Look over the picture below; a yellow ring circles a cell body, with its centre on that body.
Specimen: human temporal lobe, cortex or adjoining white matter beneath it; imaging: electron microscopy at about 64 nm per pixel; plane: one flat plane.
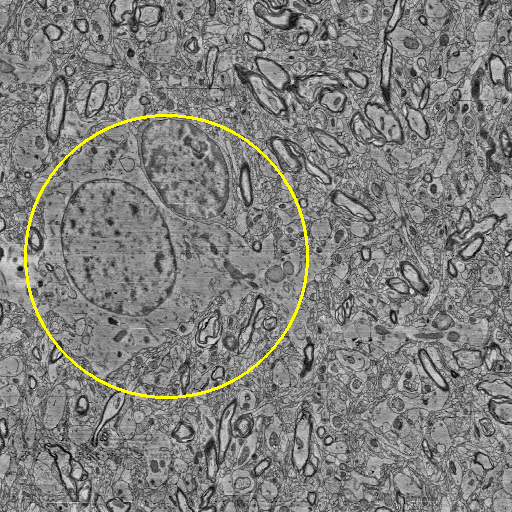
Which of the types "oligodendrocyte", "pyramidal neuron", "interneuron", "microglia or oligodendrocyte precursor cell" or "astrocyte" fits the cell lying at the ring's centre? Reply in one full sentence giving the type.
The picture shows an astrocyte at the centre of the yellow ring.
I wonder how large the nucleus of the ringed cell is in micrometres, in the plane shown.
In this plane the nucleus measures roughly 9 by 7 micrometers.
